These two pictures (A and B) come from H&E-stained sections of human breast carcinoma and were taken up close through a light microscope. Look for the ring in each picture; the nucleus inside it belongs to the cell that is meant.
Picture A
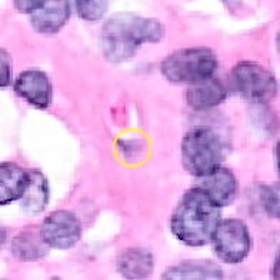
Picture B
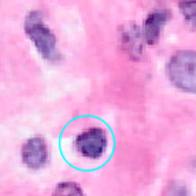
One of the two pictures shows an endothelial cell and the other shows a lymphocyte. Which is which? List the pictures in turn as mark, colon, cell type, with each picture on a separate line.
A: endothelial cell
B: lymphocyte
